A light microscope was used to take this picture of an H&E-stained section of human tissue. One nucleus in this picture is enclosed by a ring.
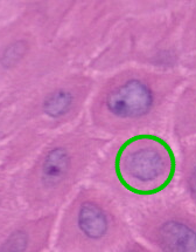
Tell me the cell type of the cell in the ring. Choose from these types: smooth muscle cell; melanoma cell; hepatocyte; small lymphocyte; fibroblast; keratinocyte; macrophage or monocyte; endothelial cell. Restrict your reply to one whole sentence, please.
Within this tissue, the cell in the ring is a keratinocyte.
